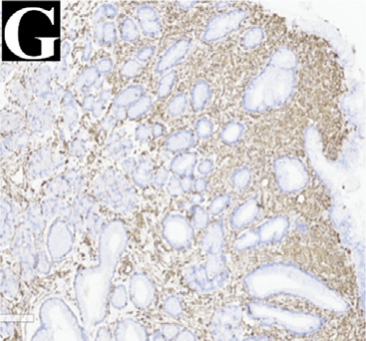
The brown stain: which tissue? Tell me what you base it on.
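Brown stain fills the cellular tissue between the glands. The glandular structures themselves are pale blue and unstained. The stain is densest in a broad zone on the right side of the panel. That points to this answer: stromal area.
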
